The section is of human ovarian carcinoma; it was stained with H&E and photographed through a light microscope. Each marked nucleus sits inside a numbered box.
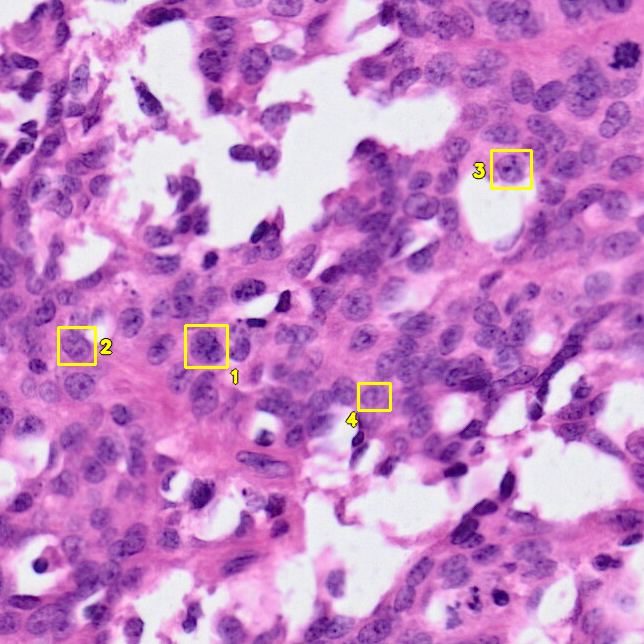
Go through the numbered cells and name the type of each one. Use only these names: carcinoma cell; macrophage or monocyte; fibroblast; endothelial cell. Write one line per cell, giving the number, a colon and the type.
1: carcinoma cell
2: carcinoma cell
3: macrophage or monocyte
4: carcinoma cell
